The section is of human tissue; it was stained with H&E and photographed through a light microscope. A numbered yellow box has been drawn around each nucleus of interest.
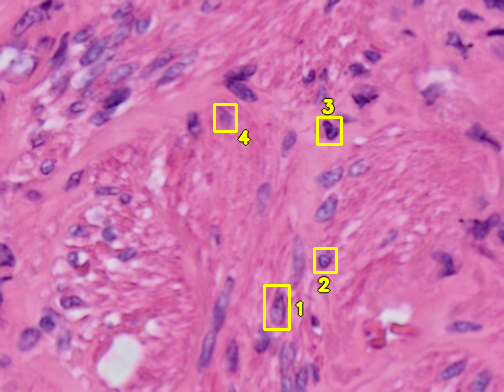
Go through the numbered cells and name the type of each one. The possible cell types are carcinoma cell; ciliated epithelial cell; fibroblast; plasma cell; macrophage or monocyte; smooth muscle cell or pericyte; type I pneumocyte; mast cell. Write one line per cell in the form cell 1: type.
cell 1: smooth muscle cell or pericyte
cell 2: smooth muscle cell or pericyte
cell 3: mast cell
cell 4: smooth muscle cell or pericyte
